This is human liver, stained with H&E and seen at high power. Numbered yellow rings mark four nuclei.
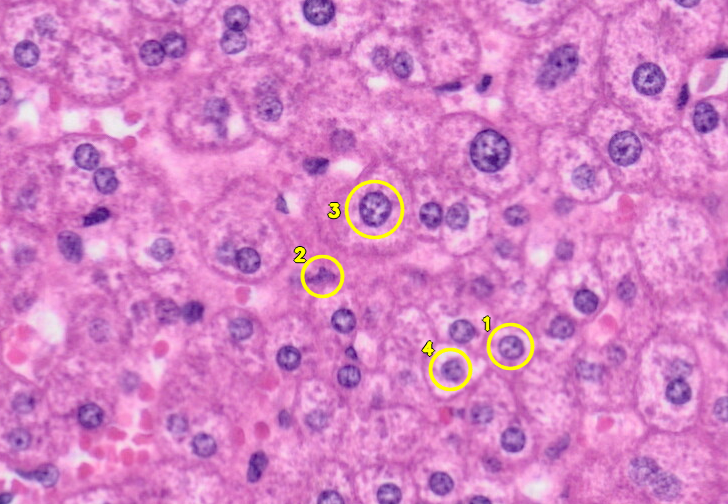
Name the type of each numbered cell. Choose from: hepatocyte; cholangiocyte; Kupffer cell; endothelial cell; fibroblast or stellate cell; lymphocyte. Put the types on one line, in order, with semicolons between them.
hepatocyte; endothelial cell; hepatocyte; hepatocyte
